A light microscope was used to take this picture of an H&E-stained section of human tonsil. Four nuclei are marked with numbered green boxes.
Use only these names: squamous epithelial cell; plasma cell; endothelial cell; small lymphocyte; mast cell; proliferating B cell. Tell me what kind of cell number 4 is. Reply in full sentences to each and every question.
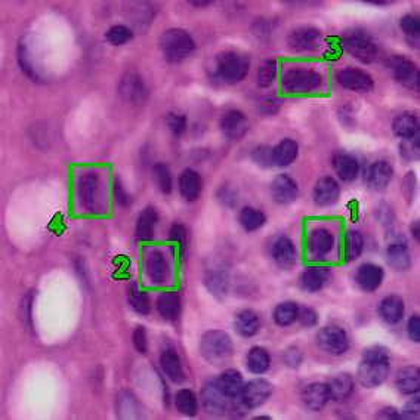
What the number 4 marks in this field is a squamous epithelial cell.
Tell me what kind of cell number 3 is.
At number 3, the marked cell is a squamous epithelial cell.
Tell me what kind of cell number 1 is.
The cell whose nucleus carries the number 1 is a plasma cell.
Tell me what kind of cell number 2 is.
Of the numbered cells, the one labelled 2 is a squamous epithelial cell.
